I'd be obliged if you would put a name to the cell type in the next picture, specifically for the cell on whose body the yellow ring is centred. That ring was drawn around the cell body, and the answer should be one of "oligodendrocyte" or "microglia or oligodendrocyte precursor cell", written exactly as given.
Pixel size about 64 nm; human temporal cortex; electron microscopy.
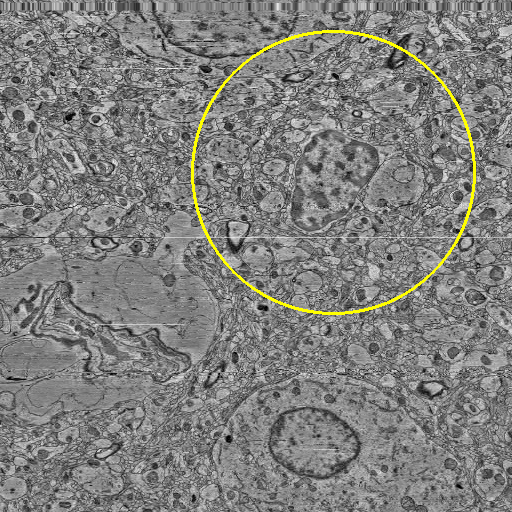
microglia or oligodendrocyte precursor cell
